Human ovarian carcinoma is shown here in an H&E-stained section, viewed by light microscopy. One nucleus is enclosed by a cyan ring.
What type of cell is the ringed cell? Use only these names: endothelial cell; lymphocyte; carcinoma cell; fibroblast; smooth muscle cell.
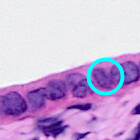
carcinoma cell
